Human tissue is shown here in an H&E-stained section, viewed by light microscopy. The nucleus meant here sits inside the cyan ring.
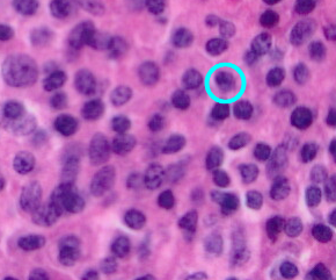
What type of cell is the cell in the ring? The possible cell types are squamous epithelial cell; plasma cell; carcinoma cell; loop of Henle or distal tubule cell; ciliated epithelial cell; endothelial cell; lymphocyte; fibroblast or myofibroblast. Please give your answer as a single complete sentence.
Labelled by cell type, the cell in the ring is a plasma cell.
